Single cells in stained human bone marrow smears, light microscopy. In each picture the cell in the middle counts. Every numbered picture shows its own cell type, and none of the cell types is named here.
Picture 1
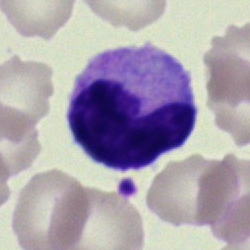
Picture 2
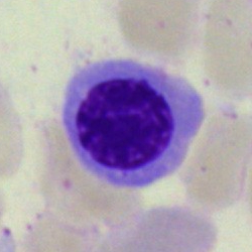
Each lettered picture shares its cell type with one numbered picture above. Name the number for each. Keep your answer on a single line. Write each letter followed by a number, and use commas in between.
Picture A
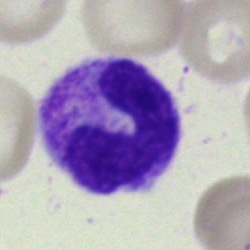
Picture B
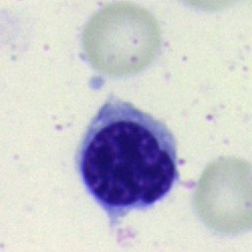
A 1, B 2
